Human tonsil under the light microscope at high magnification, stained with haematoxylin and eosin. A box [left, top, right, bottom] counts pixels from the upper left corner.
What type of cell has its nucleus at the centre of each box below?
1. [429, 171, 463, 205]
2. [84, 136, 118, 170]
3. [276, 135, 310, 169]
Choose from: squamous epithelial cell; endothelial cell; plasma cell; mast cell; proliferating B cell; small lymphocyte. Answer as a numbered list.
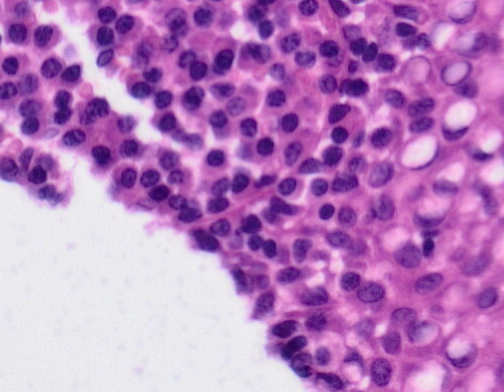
1. squamous epithelial cell
2. plasma cell
3. plasma cell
